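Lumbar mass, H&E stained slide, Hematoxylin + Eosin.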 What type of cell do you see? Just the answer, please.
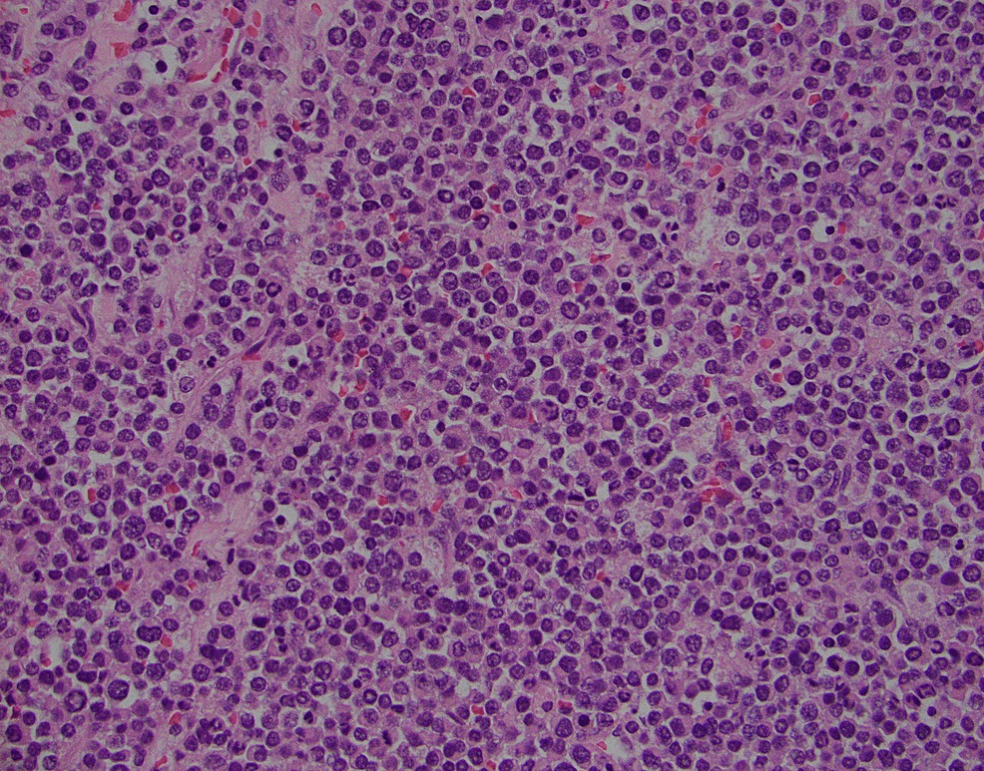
Plasma cell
